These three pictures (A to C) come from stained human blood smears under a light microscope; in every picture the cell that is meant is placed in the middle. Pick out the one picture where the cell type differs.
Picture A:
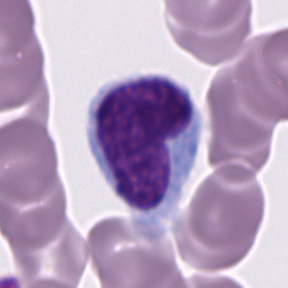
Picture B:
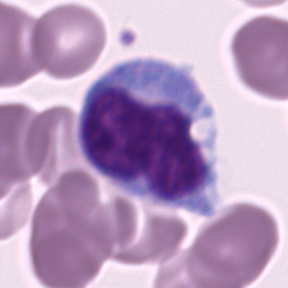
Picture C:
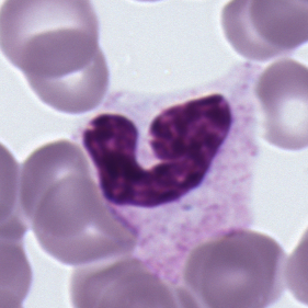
C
